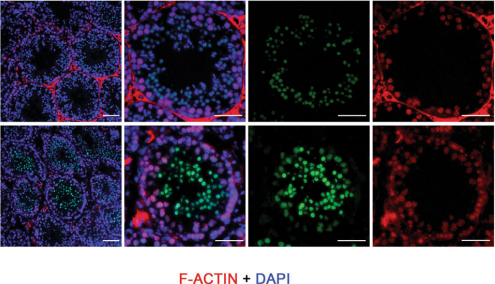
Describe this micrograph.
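These are cross-sections of testis with many round seminiferous tubules separated by thin interstitial tissue. Each tubule holds several layers of cells whose blue nuclei surround a central lumen. Green signal is confined to round nuclei clustered toward the inner part of the tubules. Red signal lines the tubule walls and the interstitium. Magnified views of single tubules show the green nuclei grouped near the lumen, with the separate channels beside them.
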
